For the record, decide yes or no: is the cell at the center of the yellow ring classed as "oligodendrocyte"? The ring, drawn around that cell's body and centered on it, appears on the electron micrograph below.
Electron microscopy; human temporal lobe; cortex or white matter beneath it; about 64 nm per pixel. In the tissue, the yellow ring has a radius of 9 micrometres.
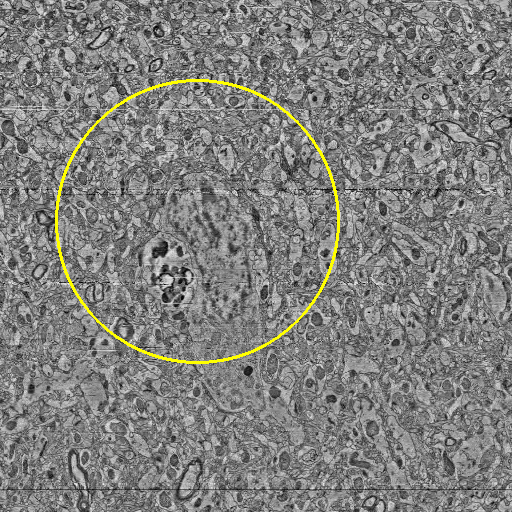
no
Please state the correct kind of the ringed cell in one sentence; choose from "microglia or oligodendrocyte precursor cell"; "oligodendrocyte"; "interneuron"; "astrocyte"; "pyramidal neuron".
The cell at the ring centre is an interneuron.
